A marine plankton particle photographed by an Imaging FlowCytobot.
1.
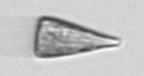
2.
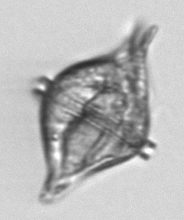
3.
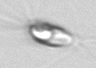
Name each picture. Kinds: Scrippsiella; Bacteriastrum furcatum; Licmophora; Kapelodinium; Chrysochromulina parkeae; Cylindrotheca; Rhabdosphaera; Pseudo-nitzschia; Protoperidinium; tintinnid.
Picture 1: Licmophora
Picture 2: Protoperidinium
Picture 3: Chrysochromulina parkeae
